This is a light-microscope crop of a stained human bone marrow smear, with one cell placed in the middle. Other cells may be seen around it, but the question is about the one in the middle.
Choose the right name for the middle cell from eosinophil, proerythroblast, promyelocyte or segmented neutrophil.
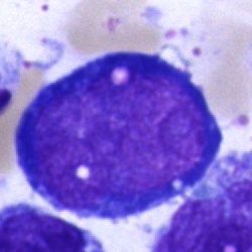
proerythroblast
